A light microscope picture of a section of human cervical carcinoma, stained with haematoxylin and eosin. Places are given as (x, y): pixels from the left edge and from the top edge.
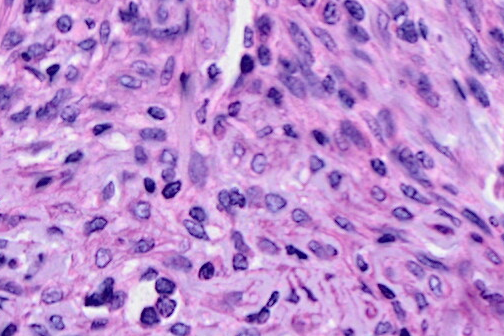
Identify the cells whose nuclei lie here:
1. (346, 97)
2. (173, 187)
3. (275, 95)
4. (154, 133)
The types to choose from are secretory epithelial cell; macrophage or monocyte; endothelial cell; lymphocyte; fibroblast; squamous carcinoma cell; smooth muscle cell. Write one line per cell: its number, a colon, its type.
1: lymphocyte
2: lymphocyte
3: lymphocyte
4: fibroblast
